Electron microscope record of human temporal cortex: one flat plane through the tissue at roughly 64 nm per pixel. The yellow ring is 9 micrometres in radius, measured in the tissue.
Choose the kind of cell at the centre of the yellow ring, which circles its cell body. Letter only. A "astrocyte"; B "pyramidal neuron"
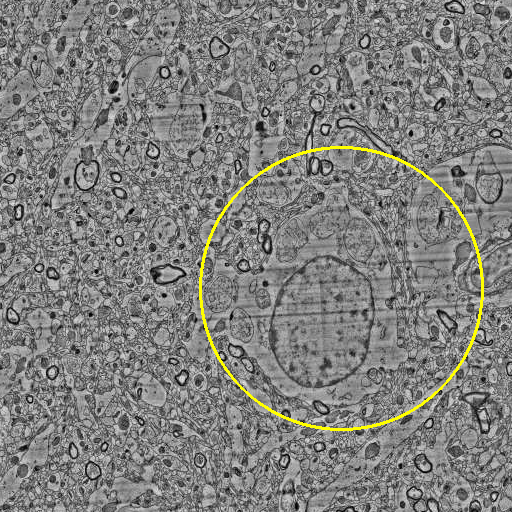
A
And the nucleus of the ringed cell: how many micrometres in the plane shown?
About 8 by 7 micrometres in this plane.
